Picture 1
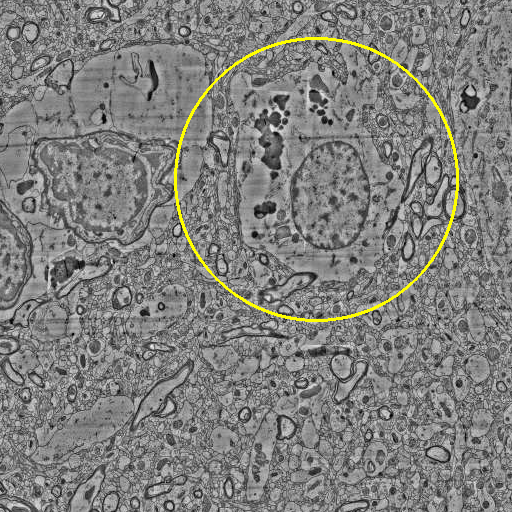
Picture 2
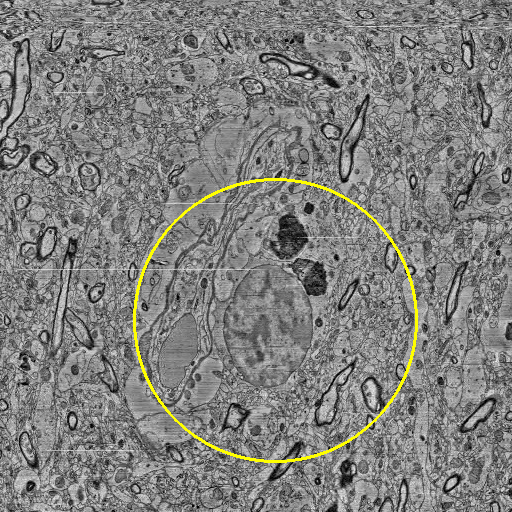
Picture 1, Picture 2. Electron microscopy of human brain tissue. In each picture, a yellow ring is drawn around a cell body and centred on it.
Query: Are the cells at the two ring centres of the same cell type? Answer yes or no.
no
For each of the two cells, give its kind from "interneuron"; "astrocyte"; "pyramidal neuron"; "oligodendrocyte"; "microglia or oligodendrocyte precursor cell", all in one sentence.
The first picture has an astrocyte in its ring, the second has an oligodendrocyte.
